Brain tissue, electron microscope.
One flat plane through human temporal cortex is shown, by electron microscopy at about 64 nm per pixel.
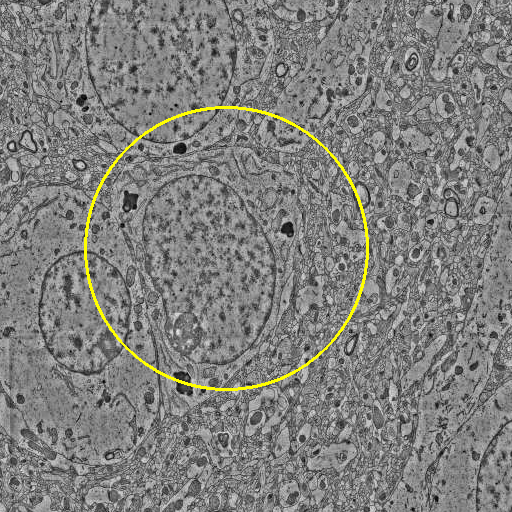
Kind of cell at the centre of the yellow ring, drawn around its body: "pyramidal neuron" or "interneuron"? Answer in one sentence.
The ring's centre falls on an interneuron.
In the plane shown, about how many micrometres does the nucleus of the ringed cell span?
About 12 by 8 micrometres in this plane; clearly longer than it is wide.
